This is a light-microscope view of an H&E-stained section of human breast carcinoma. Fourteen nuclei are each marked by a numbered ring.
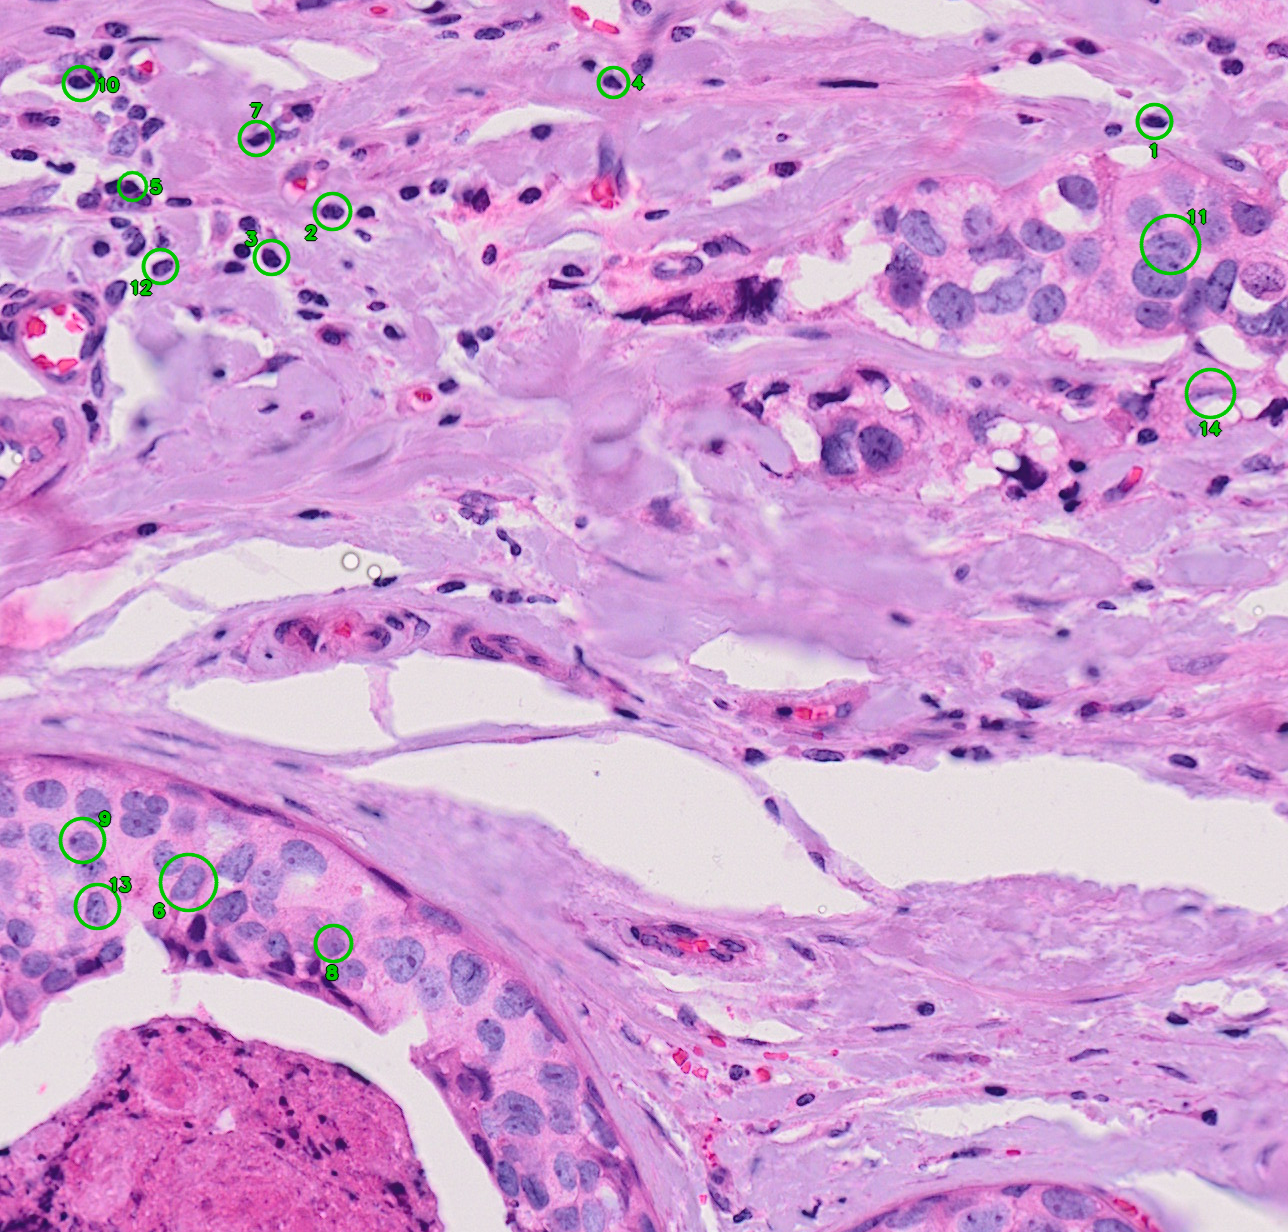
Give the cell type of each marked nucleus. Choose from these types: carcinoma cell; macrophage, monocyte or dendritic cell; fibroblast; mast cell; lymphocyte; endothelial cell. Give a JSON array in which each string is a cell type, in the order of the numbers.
["lymphocyte", "lymphocyte", "lymphocyte", "lymphocyte", "lymphocyte", "carcinoma cell", "lymphocyte", "carcinoma cell", "carcinoma cell", "lymphocyte", "carcinoma cell", "lymphocyte", "carcinoma cell", "fibroblast"]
